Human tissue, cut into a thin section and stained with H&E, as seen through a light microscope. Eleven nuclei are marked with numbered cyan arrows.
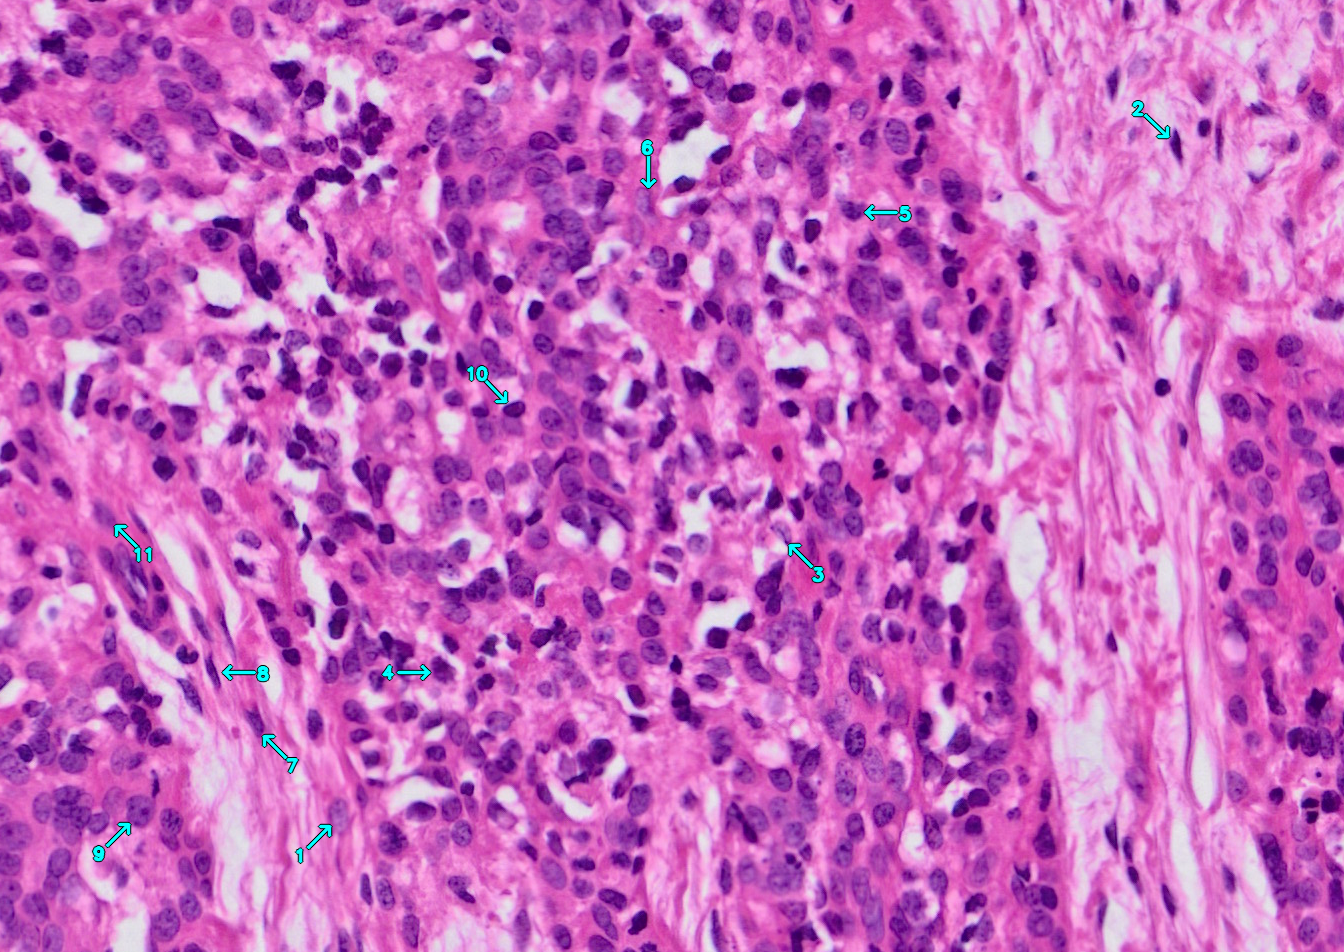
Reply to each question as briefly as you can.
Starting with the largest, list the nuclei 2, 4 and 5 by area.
4, 5, 2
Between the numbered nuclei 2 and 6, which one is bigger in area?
6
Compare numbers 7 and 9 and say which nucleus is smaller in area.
7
